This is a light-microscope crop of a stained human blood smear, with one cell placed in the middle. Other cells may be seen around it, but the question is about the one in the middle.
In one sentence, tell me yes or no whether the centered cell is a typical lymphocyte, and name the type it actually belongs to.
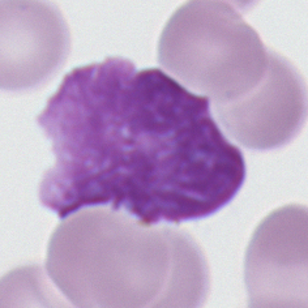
No, a typical lymphocyte is not what the central cell is; it is a smudge cell.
